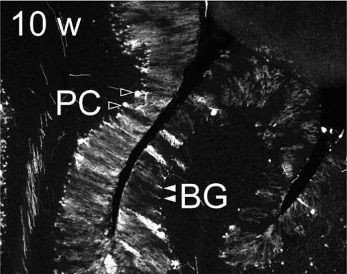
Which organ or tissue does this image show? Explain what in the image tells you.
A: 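Folded lobules separated by narrow dark fissures. Bright fibres running radially across a superficial layer of each fold. On this evidence: cerebellum.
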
